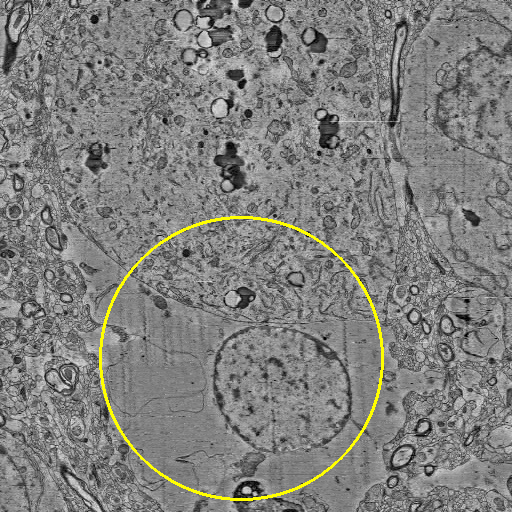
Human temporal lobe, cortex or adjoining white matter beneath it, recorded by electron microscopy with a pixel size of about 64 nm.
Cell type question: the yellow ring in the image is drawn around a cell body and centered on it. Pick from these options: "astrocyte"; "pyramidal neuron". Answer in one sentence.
The ringed cell at the center is an astrocyte.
